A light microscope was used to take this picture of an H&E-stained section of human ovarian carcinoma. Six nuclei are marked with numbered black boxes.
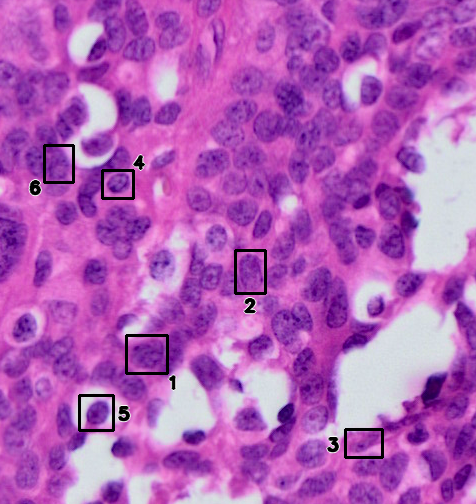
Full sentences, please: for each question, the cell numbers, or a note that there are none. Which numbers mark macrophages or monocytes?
The cells identified by the numbers 3 and 4 are macrophages or monocytes.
